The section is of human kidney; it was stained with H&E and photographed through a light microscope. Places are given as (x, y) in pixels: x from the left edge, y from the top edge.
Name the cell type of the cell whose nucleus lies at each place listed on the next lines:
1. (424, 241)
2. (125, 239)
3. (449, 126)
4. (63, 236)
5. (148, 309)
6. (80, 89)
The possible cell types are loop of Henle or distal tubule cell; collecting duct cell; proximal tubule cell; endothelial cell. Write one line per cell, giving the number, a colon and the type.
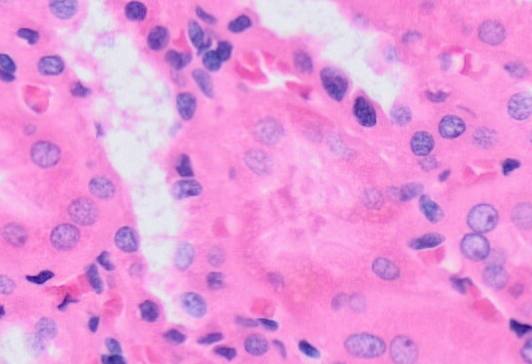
1: endothelial cell
2: loop of Henle or distal tubule cell
3: loop of Henle or distal tubule cell
4: proximal tubule cell
5: loop of Henle or distal tubule cell
6: loop of Henle or distal tubule cell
